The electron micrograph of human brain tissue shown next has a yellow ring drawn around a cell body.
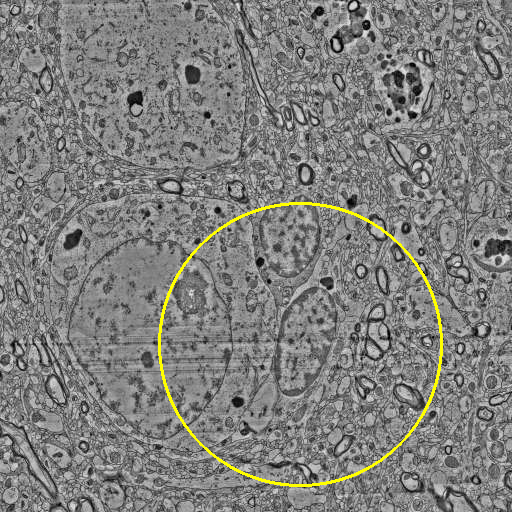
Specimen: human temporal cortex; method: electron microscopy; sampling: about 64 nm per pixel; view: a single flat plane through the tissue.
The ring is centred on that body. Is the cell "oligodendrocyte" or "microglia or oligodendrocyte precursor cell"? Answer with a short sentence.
The cell in question is a microglial cell or oligodendrocyte precursor cell.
